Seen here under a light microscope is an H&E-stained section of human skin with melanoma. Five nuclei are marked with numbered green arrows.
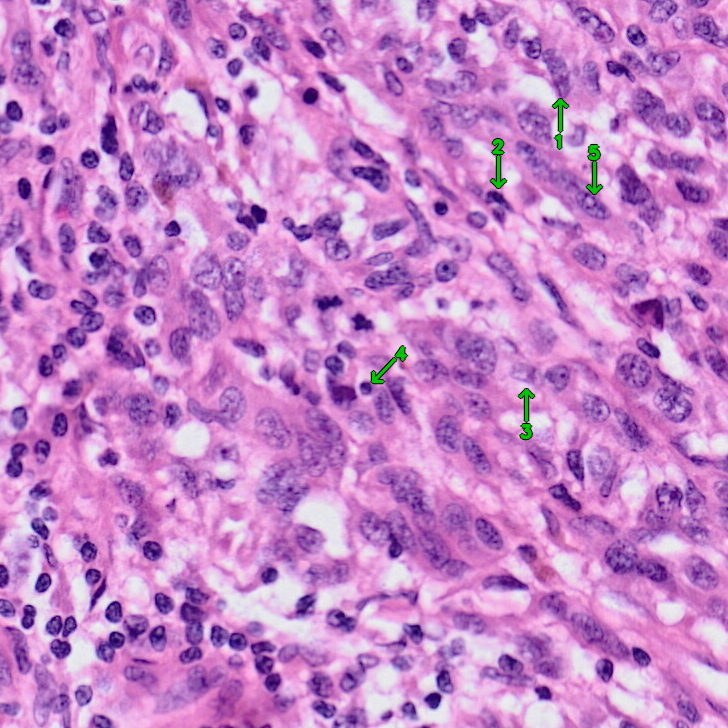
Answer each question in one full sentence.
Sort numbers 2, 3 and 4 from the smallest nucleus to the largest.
By area, going up from the smallest, they rank 4, 2, 3.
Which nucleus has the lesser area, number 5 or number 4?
With nucleus 5 about 3 times its size, nucleus 4 is the smaller of the two.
